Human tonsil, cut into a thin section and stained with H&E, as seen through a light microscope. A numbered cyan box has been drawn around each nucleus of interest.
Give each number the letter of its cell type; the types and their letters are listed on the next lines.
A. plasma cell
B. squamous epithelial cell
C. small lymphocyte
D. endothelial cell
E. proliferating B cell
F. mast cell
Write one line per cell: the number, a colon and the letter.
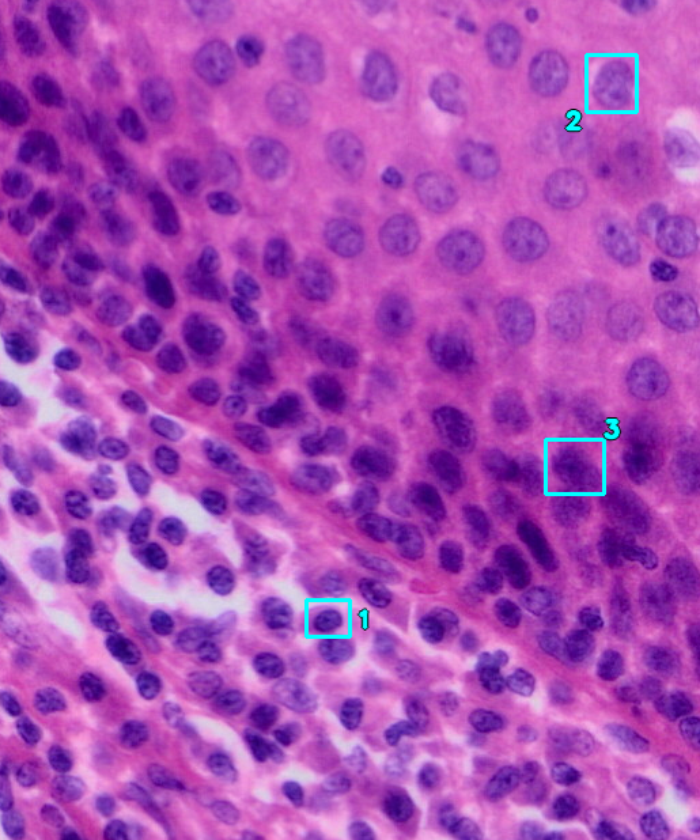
1: A
2: B
3: B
